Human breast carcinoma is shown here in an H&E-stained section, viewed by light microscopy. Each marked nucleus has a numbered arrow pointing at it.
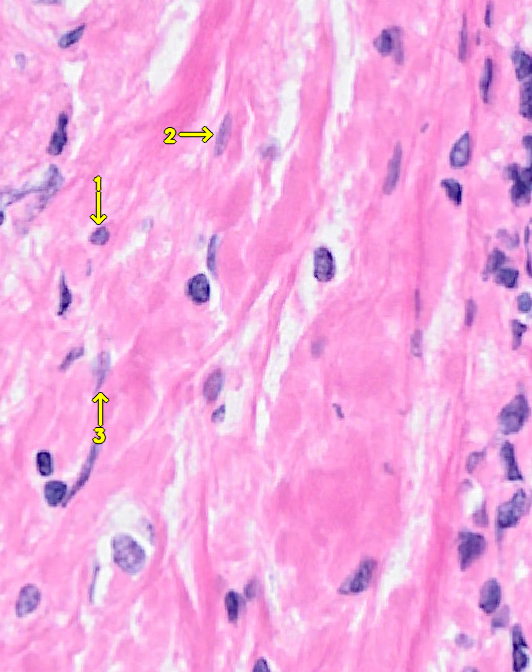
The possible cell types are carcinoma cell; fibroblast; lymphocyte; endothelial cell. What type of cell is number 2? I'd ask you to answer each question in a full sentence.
The nucleus marked 2 is the nucleus of a fibroblast.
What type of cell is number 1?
The marked cell bearing number 1 is a lymphocyte.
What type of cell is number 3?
Here, the cell given the number 3 is a fibroblast.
